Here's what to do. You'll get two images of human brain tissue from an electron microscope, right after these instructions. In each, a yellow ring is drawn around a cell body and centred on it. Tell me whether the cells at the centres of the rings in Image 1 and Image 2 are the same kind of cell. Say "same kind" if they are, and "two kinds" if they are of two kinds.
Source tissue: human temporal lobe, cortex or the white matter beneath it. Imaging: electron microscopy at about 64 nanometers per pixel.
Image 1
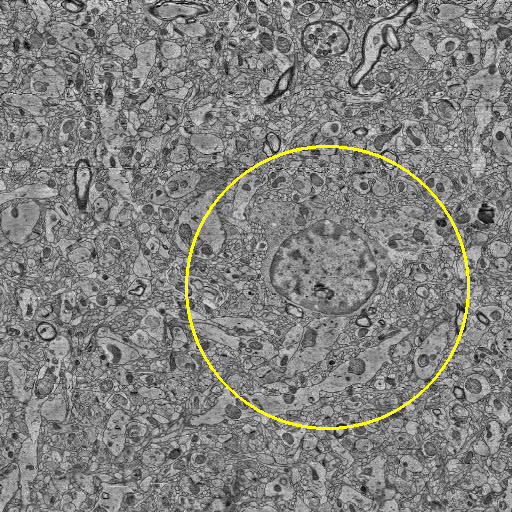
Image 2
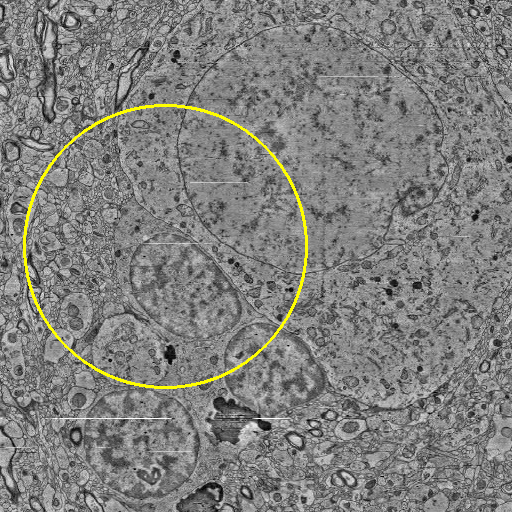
same kind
